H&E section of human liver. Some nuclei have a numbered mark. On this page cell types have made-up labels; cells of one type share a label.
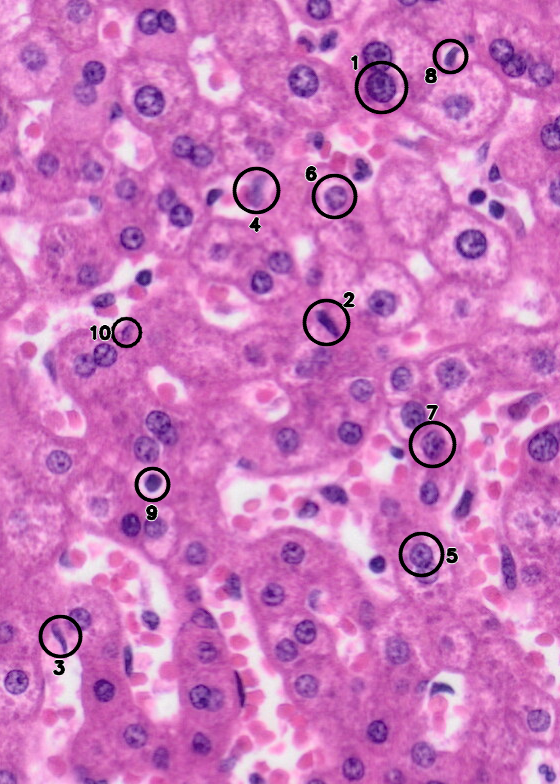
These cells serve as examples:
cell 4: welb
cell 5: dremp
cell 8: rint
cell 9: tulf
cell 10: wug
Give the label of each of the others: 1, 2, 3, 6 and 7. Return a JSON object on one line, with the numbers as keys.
{"1": "dremp", "2": "wug", "3": "rint", "6": "dremp", "7": "dremp"}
